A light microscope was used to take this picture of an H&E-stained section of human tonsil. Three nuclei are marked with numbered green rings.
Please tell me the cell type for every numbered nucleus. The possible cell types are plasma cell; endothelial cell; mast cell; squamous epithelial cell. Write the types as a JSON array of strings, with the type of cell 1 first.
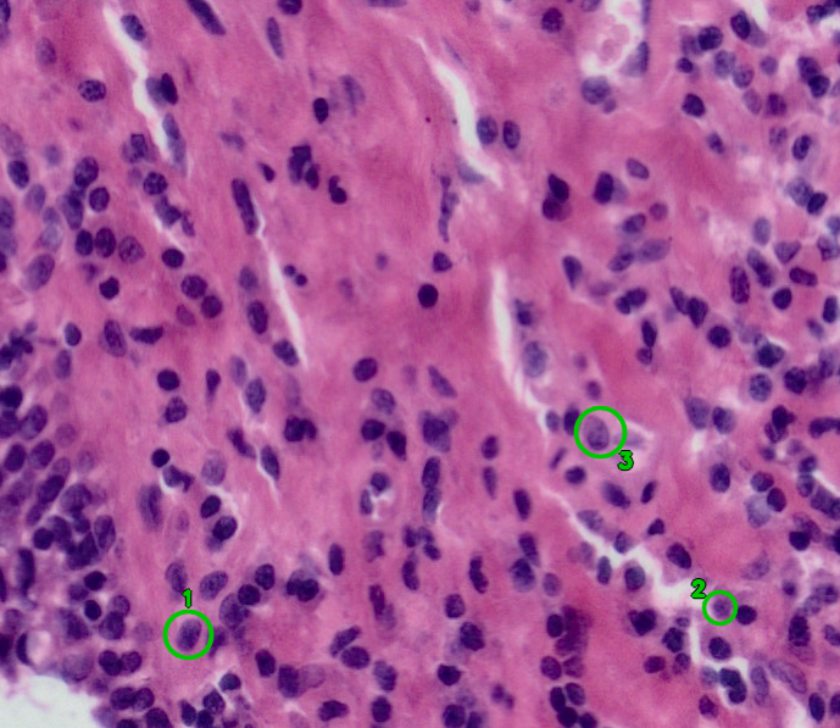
["endothelial cell", "plasma cell", "endothelial cell"]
